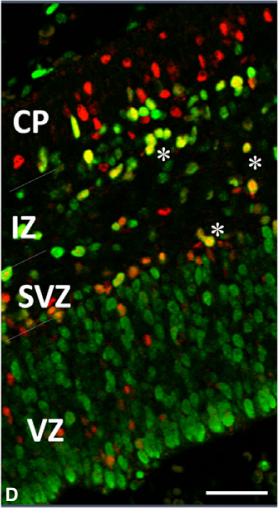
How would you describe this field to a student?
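This is the developing cortical wall with a thick ventricular zone of tightly packed, radially elongated green nuclei at the bottom. Above it, in the subventricular and intermediate zones and into the cortical plate, red nuclei are scattered, and several of them appear yellow where both labels coincide. Red nuclei within the ventricular zone are few, and there they seldom overlap with green.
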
